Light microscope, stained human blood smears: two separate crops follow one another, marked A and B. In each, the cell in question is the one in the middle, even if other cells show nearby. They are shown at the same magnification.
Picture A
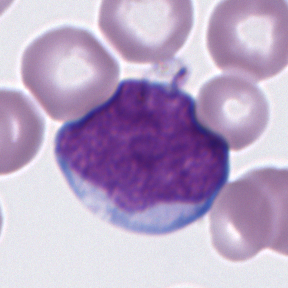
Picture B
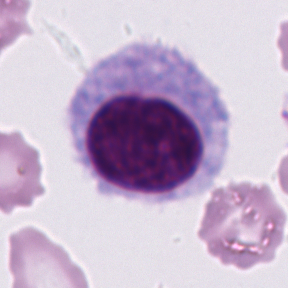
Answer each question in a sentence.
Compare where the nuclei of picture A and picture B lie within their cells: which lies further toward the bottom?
It is the nucleus in picture B that lies further toward the bottom of its cell.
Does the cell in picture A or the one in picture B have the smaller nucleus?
It is the nucleus in picture B; the one in picture A has about 1.5 times its area.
